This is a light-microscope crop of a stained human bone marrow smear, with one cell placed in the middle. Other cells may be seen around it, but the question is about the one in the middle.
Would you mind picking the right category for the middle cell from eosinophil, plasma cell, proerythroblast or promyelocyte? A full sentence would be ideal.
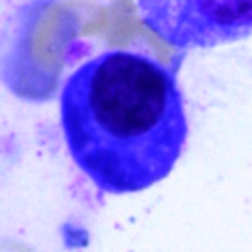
The centrally located cell in the crop is a plasma cell.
